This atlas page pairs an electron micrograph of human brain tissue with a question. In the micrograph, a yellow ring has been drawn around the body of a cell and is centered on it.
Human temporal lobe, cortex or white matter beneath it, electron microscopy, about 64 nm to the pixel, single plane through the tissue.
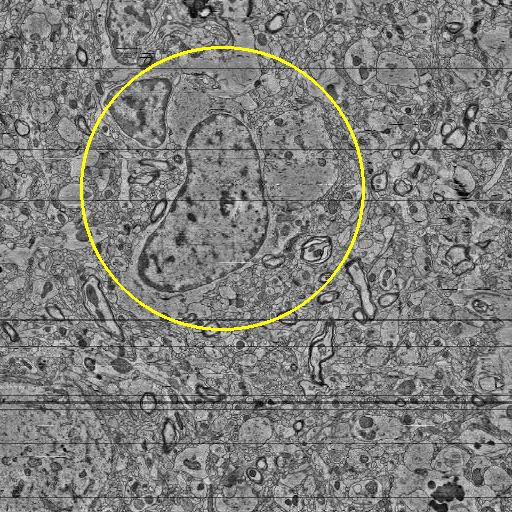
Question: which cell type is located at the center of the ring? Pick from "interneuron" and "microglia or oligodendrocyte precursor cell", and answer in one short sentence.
Located at the center of the ring is a microglial cell or oligodendrocyte precursor cell.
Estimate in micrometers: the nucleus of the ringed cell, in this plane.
The nucleus appears roughly 11 by 7 micrometres in this plane.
